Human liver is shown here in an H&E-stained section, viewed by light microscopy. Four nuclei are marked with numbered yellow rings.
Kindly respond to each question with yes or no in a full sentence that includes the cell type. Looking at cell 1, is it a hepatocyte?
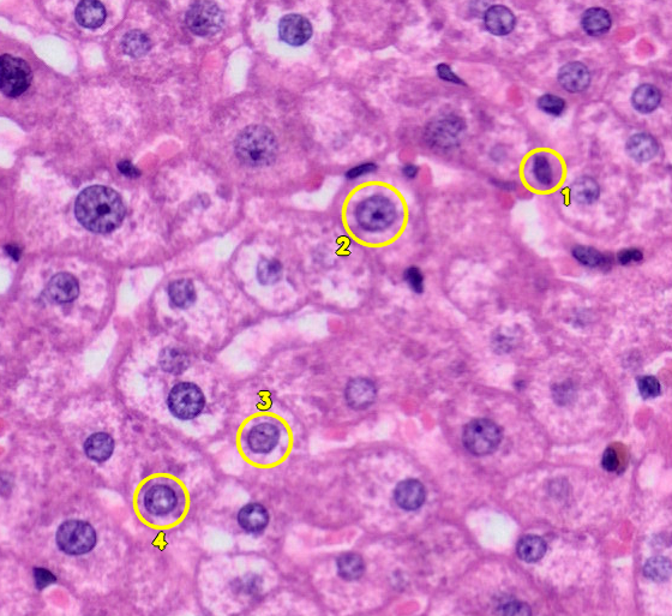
No, cell 1 represents a fibroblast or stellate cell rather than a hepatocyte.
